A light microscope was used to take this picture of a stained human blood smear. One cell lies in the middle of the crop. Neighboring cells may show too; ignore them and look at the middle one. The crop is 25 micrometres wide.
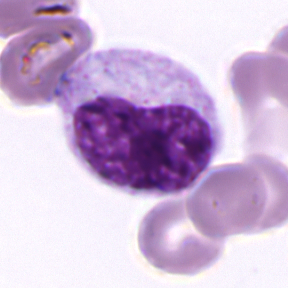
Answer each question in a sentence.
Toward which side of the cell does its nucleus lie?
Seen from the middle of the cell, the nucleus lies toward the bottom.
